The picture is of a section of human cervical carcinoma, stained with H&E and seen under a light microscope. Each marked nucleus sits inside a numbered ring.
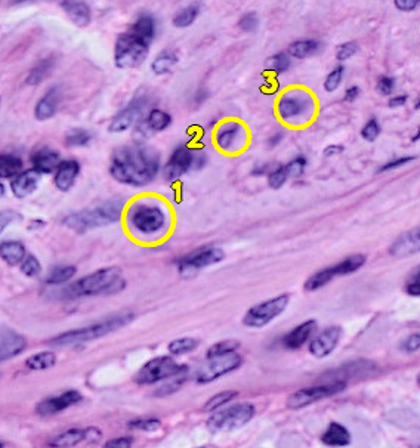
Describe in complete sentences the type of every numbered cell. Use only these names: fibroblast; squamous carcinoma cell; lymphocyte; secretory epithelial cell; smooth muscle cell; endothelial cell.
Cell 1 is a lymphocyte, cell 2 is a smooth muscle cell and cell 3 is a smooth muscle cell.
